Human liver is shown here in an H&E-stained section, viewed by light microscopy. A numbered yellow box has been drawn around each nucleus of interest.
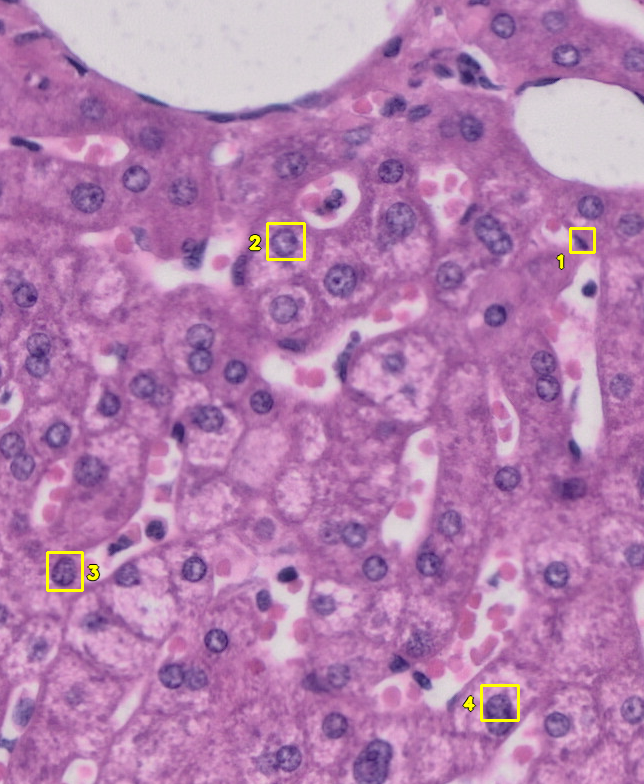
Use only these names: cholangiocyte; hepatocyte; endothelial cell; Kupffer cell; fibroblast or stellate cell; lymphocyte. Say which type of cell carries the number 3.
hepatocyte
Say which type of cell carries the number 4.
hepatocyte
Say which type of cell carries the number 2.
hepatocyte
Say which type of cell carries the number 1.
fibroblast or stellate cell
